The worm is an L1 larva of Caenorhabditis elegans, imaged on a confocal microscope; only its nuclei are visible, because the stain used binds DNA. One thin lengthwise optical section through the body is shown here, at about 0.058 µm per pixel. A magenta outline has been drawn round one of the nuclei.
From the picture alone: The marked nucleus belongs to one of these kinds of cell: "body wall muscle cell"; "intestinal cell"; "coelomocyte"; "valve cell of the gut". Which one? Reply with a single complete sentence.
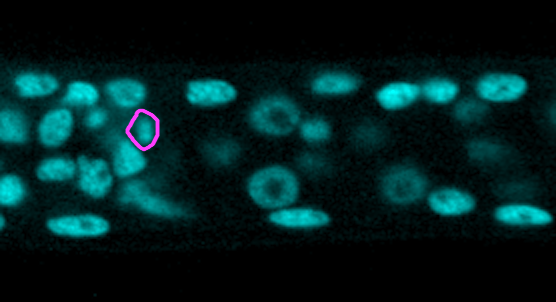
The marked nucleus is that of a valve cell of the gut.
